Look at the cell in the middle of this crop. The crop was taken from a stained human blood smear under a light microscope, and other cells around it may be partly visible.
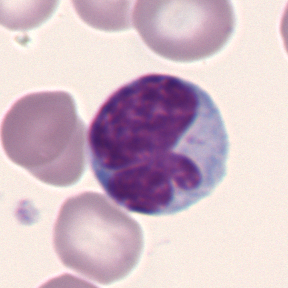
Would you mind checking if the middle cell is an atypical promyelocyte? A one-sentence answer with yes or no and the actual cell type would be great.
No, the cell of interest here is a myeloblast and not an atypical promyelocyte.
